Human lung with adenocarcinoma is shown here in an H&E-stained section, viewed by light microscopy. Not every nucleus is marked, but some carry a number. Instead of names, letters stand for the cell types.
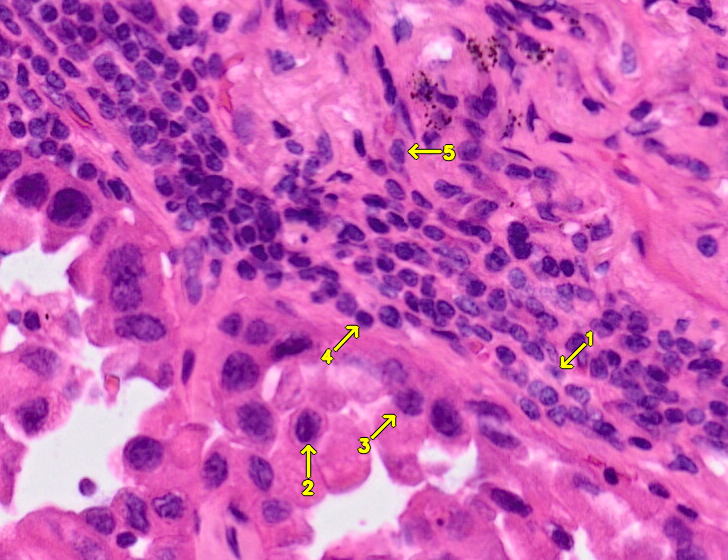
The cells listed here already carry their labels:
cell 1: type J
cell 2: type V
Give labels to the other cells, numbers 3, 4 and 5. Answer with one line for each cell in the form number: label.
3: type V
4: type J
5: type J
